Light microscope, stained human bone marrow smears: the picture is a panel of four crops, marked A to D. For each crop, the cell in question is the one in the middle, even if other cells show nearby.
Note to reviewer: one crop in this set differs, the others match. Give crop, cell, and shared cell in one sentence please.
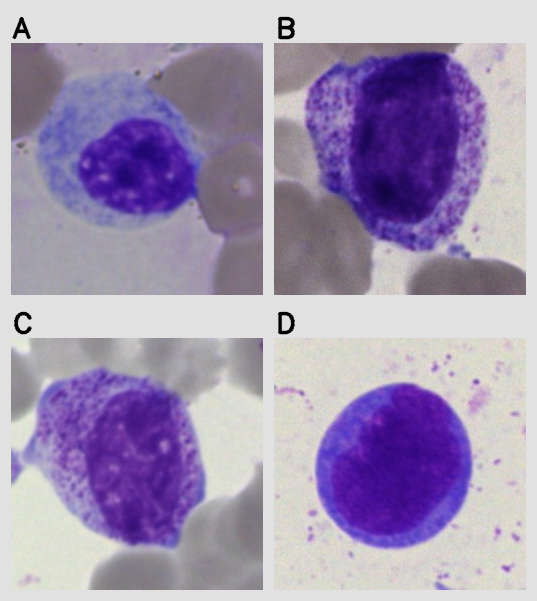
The set is made up of myelocytes, with the single exception of crop D, which is a blast.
